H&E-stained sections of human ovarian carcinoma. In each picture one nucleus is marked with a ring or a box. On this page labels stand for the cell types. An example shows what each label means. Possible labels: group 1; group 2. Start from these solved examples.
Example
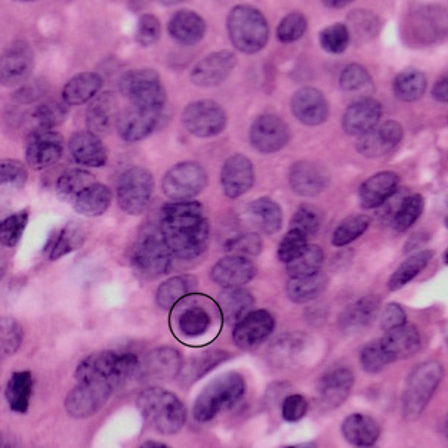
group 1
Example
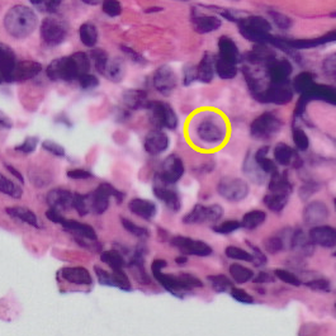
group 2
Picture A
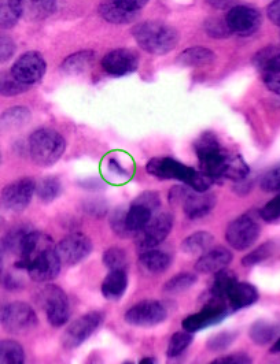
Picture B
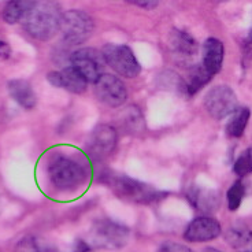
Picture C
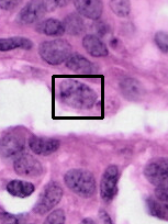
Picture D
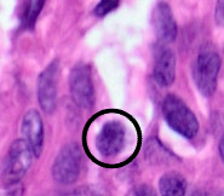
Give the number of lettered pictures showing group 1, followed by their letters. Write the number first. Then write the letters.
1, namely B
